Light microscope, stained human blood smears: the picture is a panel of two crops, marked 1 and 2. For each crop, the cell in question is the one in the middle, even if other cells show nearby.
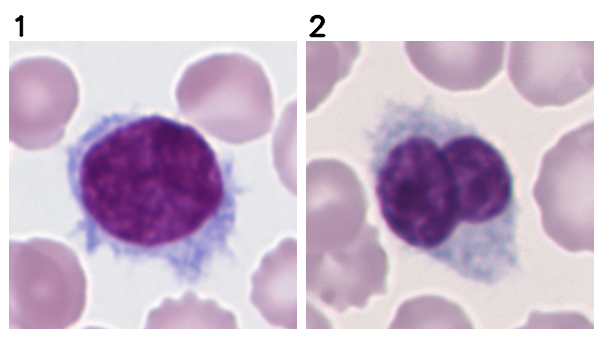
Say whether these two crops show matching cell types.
yes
